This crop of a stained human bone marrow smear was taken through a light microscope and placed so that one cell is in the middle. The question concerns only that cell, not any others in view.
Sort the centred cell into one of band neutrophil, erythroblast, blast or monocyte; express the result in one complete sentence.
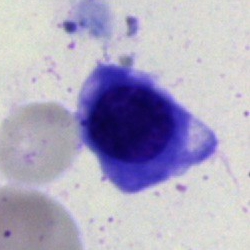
The cell sitting right in the middle is an erythroblast.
